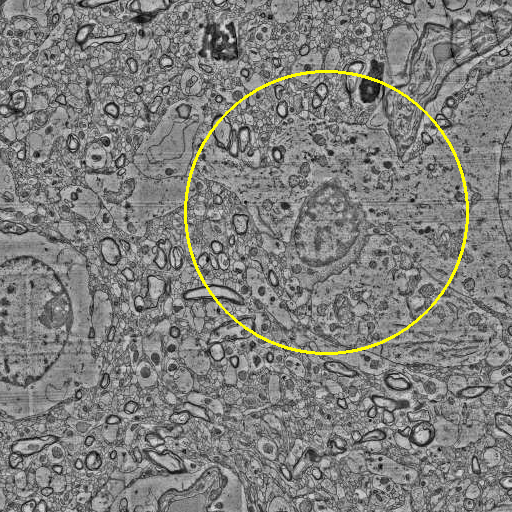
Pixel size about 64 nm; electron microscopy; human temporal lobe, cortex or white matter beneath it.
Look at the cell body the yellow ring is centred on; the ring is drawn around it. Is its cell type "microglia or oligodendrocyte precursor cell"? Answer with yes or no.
No, its cell type is another.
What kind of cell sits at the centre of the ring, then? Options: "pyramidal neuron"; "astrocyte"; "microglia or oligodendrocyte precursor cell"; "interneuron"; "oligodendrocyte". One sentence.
Instead, the cell at the centre of the ring is an oligodendrocyte.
